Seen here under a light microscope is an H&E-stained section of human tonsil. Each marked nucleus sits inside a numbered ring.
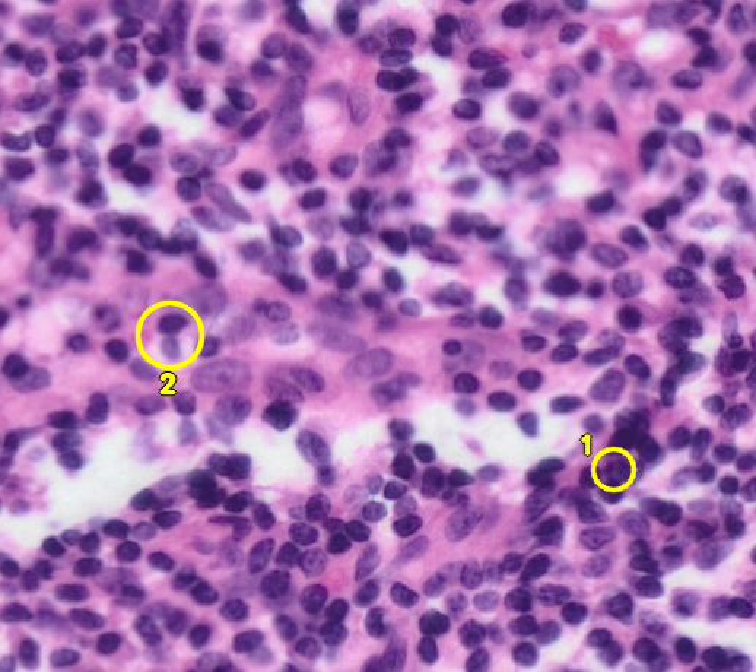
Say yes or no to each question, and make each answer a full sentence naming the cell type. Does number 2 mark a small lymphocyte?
No, number 2 corresponds to an endothelial cell, not a small lymphocyte.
